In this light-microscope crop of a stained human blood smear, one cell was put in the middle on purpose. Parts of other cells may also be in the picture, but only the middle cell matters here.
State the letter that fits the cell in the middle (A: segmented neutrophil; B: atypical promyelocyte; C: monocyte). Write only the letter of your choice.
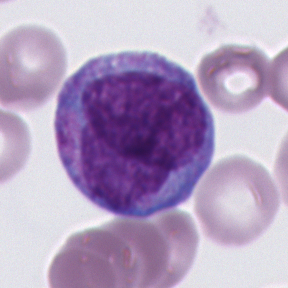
B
